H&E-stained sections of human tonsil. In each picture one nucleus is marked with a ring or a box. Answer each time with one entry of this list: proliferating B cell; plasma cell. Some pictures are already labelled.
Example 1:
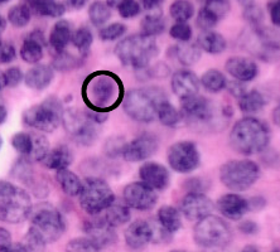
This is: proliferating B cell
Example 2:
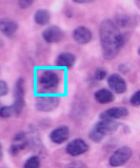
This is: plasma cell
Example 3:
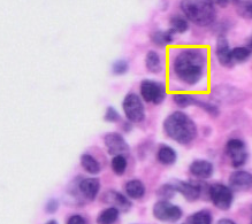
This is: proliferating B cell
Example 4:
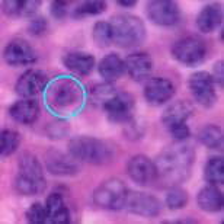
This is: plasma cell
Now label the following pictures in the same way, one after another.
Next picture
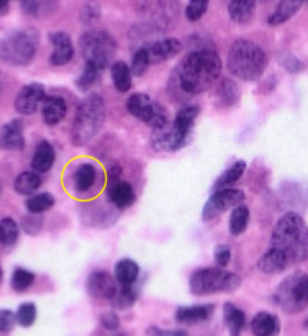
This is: plasma cell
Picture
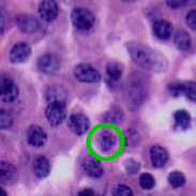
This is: plasma cell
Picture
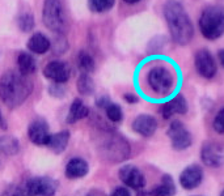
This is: plasma cell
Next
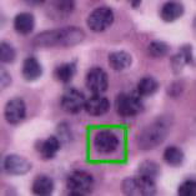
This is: plasma cell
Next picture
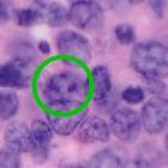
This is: proliferating B cell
